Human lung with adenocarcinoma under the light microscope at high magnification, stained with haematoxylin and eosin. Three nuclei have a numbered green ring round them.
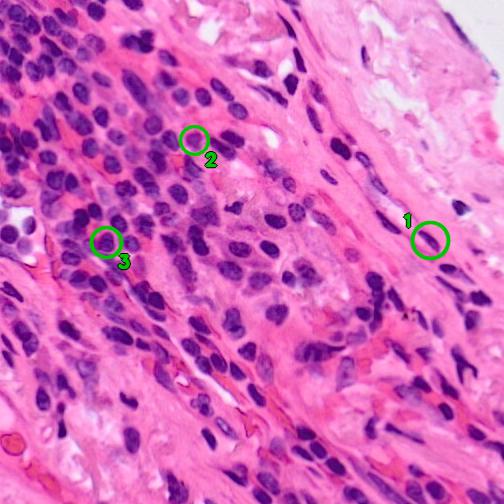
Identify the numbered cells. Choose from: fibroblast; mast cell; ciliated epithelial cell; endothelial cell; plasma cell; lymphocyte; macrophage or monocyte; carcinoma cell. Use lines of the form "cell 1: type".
cell 1: endothelial cell
cell 2: lymphocyte
cell 3: lymphocyte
